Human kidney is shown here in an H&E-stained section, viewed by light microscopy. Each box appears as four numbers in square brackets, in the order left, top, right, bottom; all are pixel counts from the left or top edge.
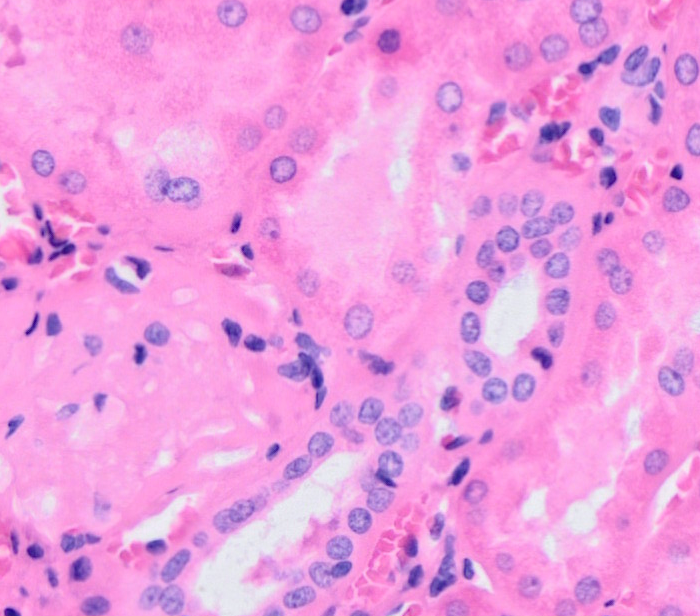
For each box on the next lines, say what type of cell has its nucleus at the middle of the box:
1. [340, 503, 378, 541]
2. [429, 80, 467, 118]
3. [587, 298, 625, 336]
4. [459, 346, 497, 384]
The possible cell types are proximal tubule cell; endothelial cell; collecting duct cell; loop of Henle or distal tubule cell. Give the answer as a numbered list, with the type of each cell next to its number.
1. collecting duct cell
2. proximal tubule cell
3. proximal tubule cell
4. collecting duct cell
